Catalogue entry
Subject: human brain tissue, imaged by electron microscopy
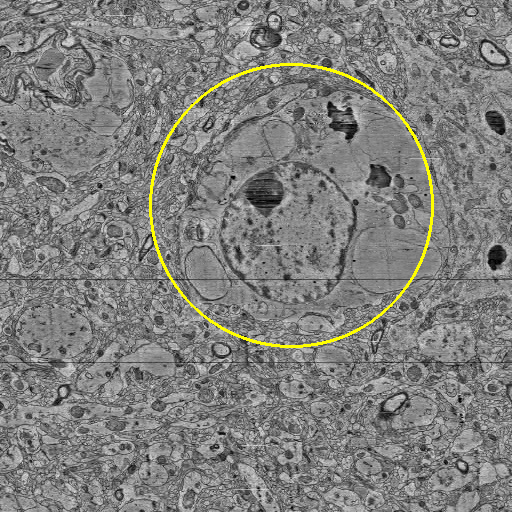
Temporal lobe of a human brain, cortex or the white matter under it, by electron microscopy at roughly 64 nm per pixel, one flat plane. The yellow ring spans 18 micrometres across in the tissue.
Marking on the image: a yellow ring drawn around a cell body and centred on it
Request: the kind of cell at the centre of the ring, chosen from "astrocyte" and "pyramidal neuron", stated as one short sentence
The ring has an astrocyte at its centre.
